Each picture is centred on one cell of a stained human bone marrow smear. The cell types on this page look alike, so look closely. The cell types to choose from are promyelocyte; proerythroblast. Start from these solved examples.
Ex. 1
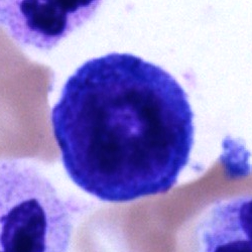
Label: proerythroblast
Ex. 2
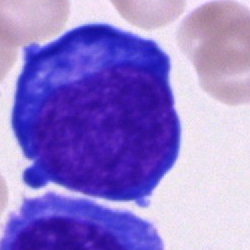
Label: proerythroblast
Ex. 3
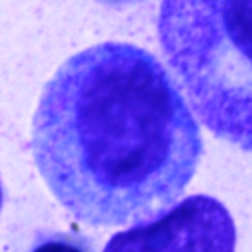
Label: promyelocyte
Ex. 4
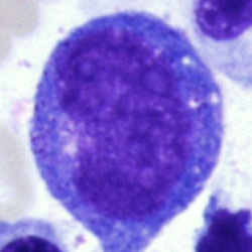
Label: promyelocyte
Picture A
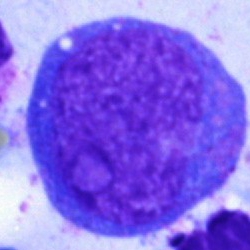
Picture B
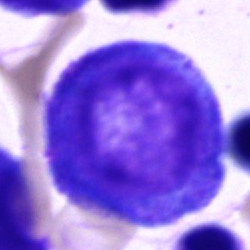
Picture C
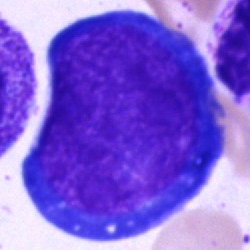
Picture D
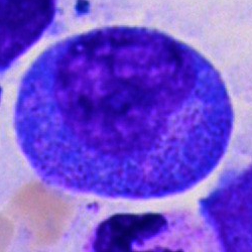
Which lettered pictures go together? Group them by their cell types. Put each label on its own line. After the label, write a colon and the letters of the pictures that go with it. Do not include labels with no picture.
promyelocyte: A, B, D
proerythroblast: C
